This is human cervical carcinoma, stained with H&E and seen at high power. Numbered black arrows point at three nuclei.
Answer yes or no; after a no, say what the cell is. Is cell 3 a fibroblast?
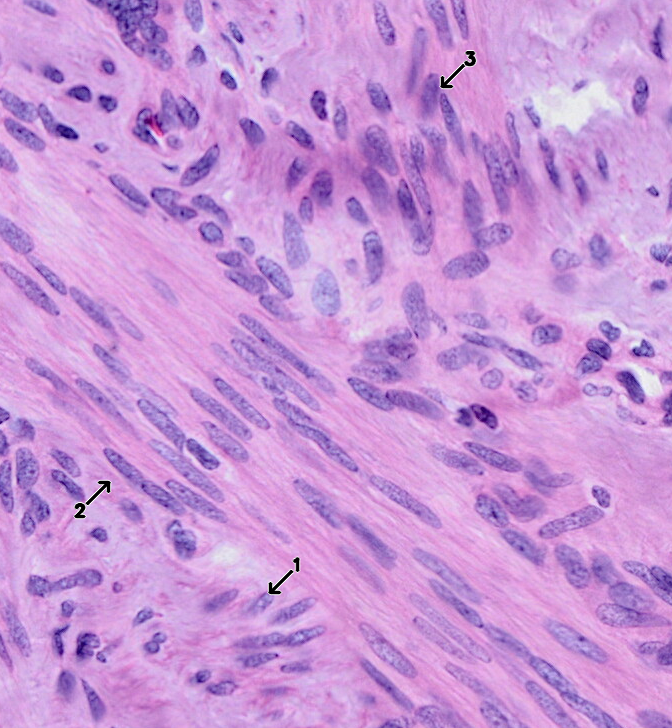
Yes.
